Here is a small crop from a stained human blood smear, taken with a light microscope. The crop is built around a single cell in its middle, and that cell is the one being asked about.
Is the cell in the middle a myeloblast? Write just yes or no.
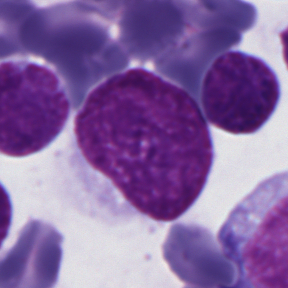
yes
